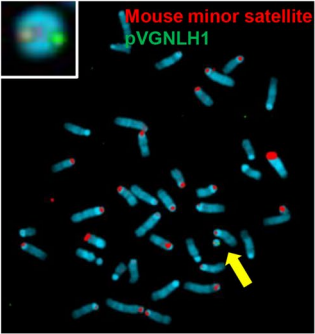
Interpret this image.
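Short blue-stained chromosomes are scattered separately over a dark field. Most carry a small red dot at one end. An arrow marks one small element, and the inset shows a round blue body with red and green dots on it.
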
